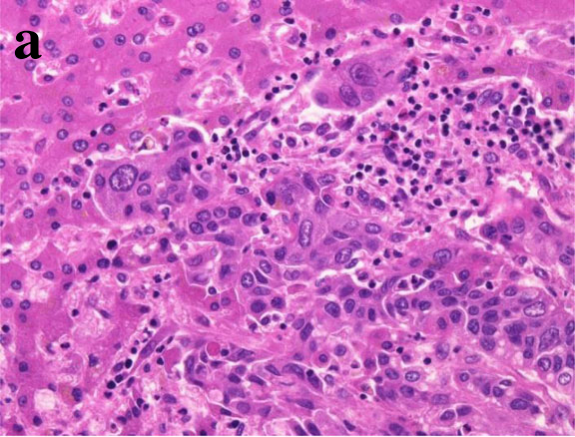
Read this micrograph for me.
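A section of a carcinoma growing within liver tissue, stained pink and purple. Tumor cells with enlarged, oval to irregular, vesicular nuclei, coarse chromatin and conspicuous nucleoli lie in cords and small clusters, with moderate pink to lilac cytoplasm. Some nuclei are markedly large and pleomorphic. Scant pale fibrous stroma accompanies the tumor cords.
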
